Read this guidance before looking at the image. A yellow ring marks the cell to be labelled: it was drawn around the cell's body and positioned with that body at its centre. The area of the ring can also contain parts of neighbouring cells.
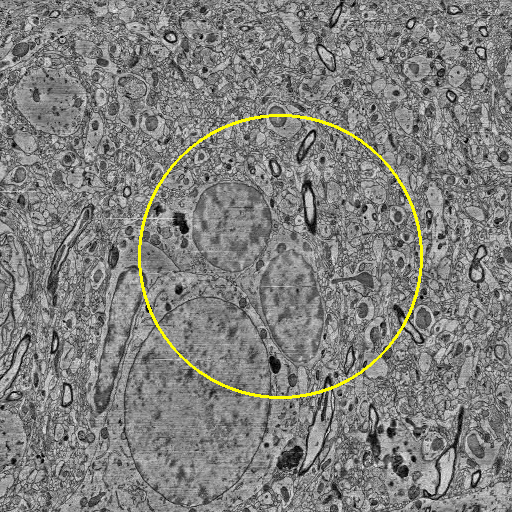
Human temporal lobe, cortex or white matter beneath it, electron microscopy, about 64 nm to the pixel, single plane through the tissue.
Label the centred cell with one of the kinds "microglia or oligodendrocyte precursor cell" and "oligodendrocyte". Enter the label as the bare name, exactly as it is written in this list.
oligodendrocyte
